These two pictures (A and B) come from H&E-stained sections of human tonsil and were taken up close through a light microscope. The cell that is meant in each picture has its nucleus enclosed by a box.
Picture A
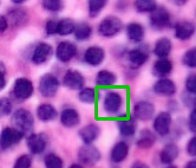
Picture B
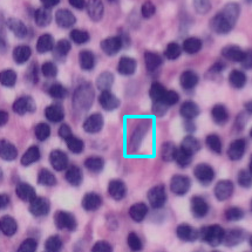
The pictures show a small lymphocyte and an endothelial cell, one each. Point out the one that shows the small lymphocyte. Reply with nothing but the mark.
A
